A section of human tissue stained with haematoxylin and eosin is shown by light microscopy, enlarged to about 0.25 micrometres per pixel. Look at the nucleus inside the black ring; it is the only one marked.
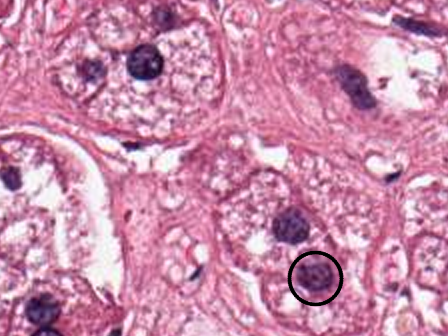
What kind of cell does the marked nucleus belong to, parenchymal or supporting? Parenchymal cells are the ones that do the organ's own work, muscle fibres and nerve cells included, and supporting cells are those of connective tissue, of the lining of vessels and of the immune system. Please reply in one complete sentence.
The marked nucleus, belonging to a parenchymal cell, is that of an adrenal cortical cell.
